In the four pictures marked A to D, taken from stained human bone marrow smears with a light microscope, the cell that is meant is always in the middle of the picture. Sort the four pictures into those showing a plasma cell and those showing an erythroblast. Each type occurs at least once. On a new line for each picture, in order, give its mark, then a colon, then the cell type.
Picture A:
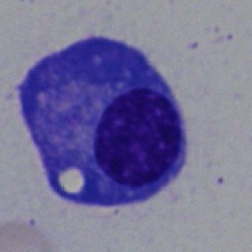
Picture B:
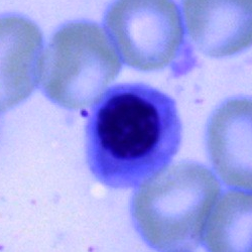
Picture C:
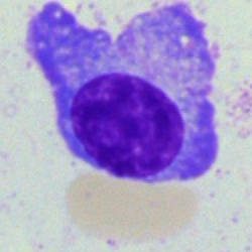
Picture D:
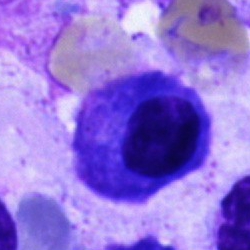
A: plasma cell
B: erythroblast
C: plasma cell
D: plasma cell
